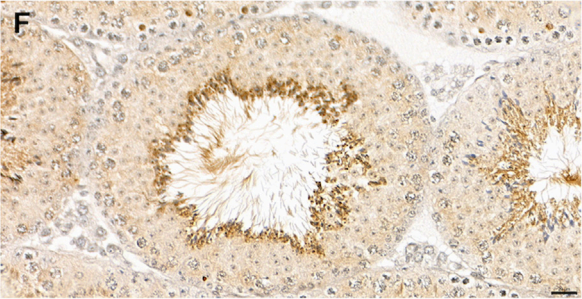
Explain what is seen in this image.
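A tubule of the testis cut across, with many layers of round germ cells with pale nuclei around a central lumen and elongated cells with dense heads crowding toward the lumen. A strong brown stain outlines the innermost cells and their tails at the lumen, while the outer layers carry only a faint brown tint; a neighbouring tubule at the edge shows the same rim of stain.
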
